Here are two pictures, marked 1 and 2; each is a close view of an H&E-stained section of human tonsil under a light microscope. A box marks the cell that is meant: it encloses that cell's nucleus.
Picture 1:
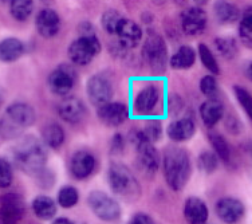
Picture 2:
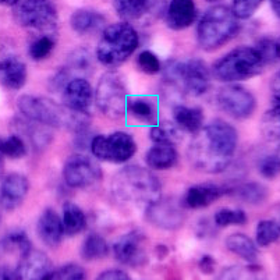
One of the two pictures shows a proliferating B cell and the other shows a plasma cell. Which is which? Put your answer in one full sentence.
It is picture 1 that shows a plasma cell, and picture 2 that shows a proliferating B cell.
